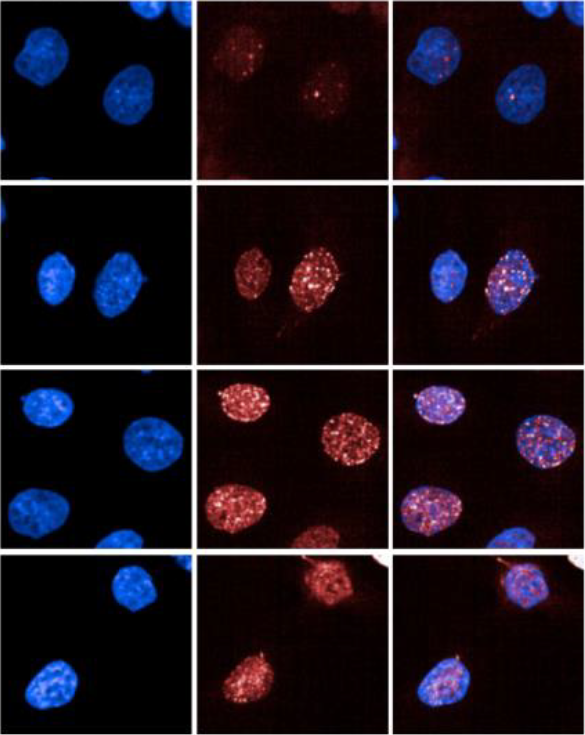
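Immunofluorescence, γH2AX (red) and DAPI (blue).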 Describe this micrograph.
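The nuclei are large, round to oval and smoothly outlined, with fine blue chromatin texture. In the second row one or two nuclei are dotted with many small bright red spots. In the third row the nuclei are filled with a dense, fine red speckling, while in the bottom row the speckling is present but somewhat dimmer.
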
